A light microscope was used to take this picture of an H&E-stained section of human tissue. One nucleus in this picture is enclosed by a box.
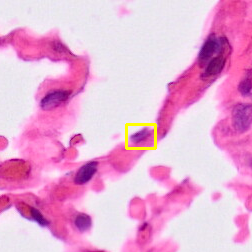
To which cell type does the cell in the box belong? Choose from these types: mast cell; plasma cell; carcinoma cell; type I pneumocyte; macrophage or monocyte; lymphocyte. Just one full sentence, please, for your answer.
Among the cells in this section, the cell in the box is a type I pneumocyte.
